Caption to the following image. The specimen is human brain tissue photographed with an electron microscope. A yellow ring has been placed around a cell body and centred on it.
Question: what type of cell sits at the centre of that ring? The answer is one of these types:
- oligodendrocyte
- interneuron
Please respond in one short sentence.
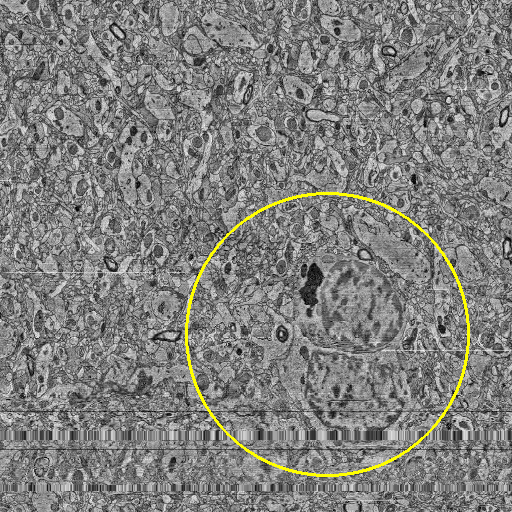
The ring surrounds the cell body of an oligodendrocyte.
